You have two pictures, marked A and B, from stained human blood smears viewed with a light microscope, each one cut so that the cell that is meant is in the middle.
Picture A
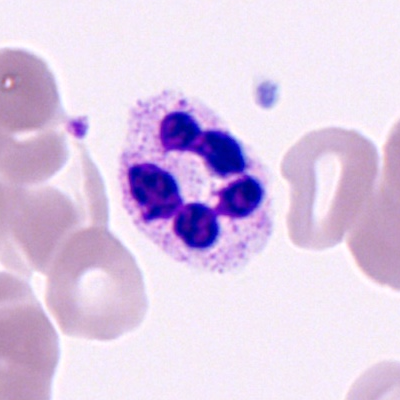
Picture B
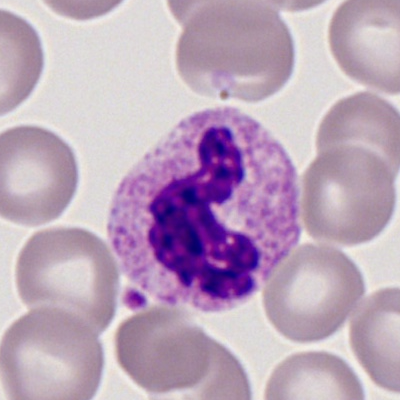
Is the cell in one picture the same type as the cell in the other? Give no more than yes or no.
yes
